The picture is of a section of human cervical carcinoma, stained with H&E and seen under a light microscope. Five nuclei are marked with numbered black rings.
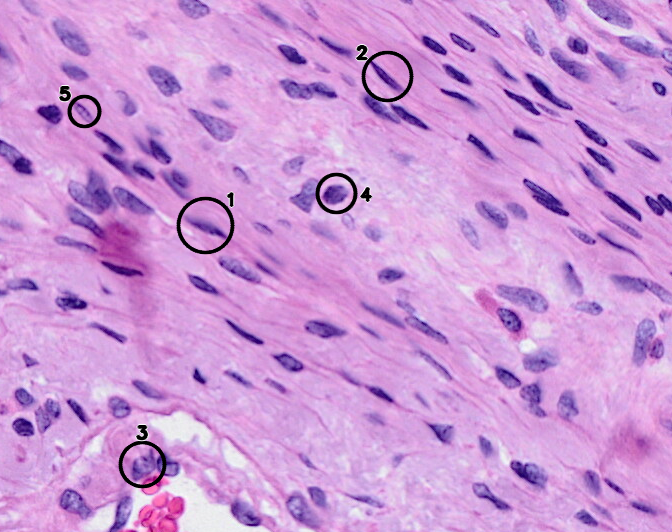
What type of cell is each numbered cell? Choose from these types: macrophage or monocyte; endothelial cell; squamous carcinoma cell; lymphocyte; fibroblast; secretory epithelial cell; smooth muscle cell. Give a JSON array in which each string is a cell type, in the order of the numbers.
["fibroblast", "fibroblast", "endothelial cell", "lymphocyte", "fibroblast"]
